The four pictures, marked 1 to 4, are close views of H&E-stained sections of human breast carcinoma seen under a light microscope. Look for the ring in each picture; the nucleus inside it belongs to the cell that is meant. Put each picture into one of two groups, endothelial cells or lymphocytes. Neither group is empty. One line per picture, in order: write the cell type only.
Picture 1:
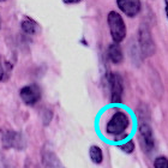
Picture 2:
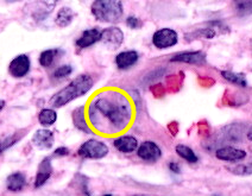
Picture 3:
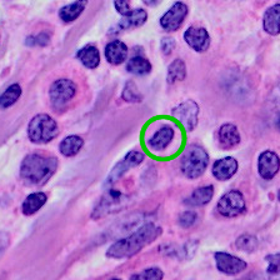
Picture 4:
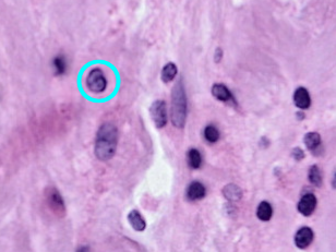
lymphocyte
endothelial cell
lymphocyte
lymphocyte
